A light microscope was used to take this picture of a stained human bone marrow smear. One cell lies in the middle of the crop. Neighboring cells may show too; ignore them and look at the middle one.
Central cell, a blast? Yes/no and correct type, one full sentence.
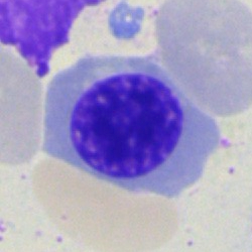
No, not a blast: the cell in the middle of this crop is an erythroblast.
